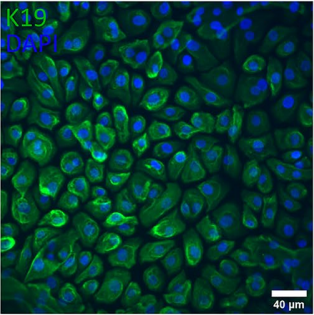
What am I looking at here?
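The cells are flattened and polygonal, packed edge to edge in a cobblestone arrangement with little space between them. Each cell has a single round to oval blue nucleus, mostly near the centre. The green signal fills the cytoplasm as a fine filamentous network that is brightest around the nucleus and at some cell margins.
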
